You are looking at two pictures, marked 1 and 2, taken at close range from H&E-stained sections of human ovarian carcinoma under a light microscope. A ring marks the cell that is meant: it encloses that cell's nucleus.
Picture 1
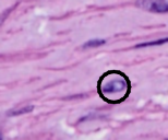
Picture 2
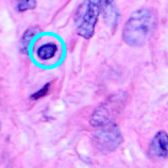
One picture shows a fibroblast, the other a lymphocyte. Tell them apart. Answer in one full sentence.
Picture 1 is of a fibroblast, and picture 2 is of a lymphocyte.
